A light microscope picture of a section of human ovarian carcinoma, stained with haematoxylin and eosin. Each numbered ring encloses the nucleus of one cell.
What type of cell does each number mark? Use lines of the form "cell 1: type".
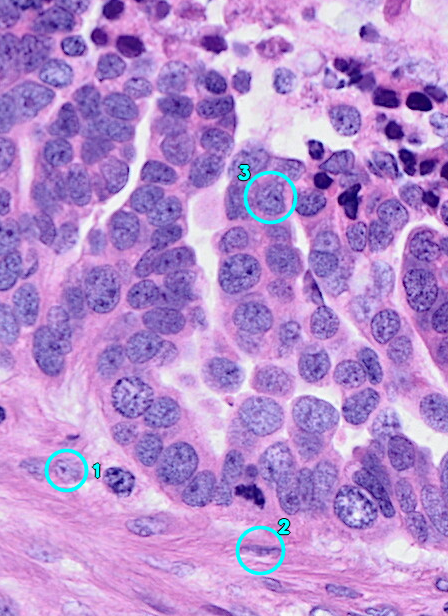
cell 1: fibroblast
cell 2: fibroblast
cell 3: carcinoma cell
